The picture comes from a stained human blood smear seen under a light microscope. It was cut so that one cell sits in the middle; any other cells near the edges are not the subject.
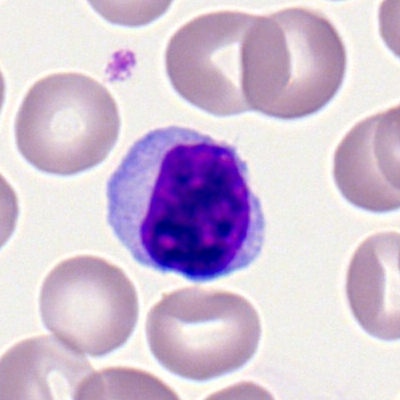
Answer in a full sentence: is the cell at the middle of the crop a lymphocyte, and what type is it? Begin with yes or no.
Yes, what sits in the centre of the crop is a lymphocyte.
